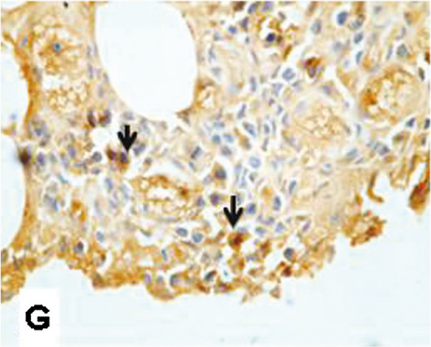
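A cellular area beside clear fat vacuoles shows many cells with oval blue nuclei in a brown-stained background. Scattered cells have intensely dark brown cytoplasm, and rounded nests of pale, foamy-looking cells are seen.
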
